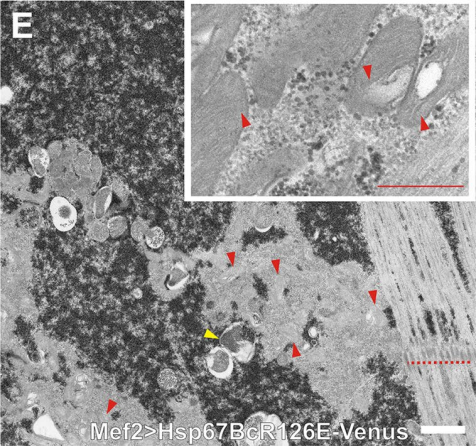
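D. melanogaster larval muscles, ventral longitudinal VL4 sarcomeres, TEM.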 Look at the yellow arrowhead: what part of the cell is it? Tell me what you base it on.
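The arrowhead points to a membrane-bounded vesicle. The vesicle lies within a large mass of dark granules. Similar rounded membrane-bounded bodies lie nearby. The answer: autophagosomes.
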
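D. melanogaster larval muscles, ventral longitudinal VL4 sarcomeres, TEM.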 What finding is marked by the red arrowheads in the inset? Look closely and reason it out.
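Broken cristae. Arrowheads point to organelles with interrupted internal membranes. Pale, cleared areas interrupt the membrane pattern in some organelles.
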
